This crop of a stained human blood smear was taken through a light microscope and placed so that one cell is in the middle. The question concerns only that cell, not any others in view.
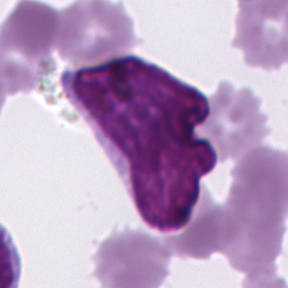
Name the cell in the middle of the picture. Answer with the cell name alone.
blast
